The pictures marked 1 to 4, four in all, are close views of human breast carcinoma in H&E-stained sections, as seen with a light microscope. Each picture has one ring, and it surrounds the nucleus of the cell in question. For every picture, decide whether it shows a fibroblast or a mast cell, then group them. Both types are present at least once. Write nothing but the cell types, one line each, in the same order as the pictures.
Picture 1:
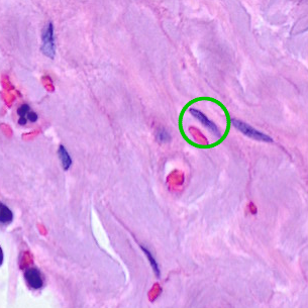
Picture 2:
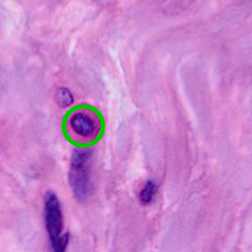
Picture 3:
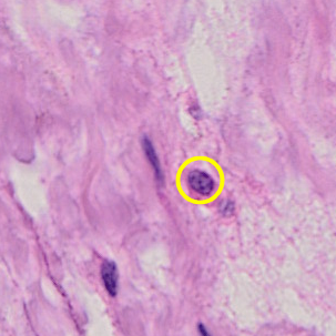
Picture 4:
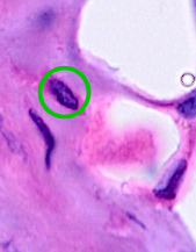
fibroblast
mast cell
mast cell
mast cell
